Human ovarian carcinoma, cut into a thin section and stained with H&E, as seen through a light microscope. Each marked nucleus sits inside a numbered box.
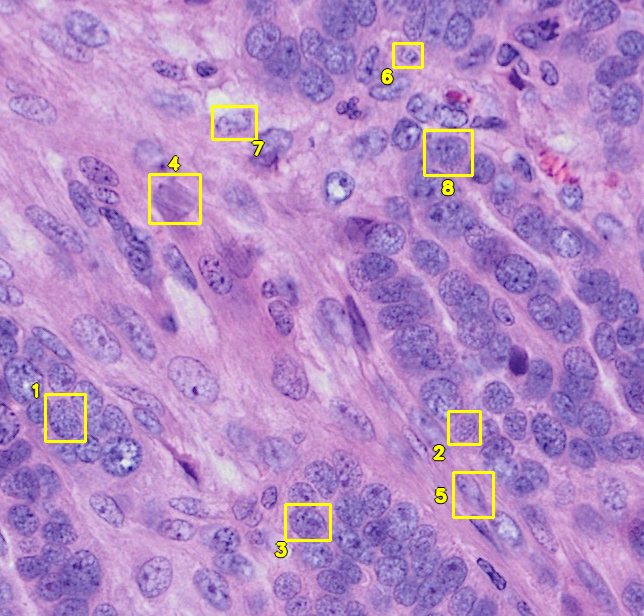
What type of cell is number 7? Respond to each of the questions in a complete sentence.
The marked cell with the number 7 is recognised as a fibroblast.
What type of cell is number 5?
The identity of cell 5 is that of a fibroblast.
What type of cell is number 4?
Cell 4 in the field of view is a fibroblast.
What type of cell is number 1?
The numbered cell 1 in this field is a carcinoma cell.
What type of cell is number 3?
To a carcinoma cell belongs the nucleus marked 3.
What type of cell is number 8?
The nucleus marked 8 is the nucleus of a carcinoma cell.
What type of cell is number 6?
Corresponding to a macrophage or monocyte is the cell labelled 6.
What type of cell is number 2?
As for number 2, that cell is a carcinoma cell.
